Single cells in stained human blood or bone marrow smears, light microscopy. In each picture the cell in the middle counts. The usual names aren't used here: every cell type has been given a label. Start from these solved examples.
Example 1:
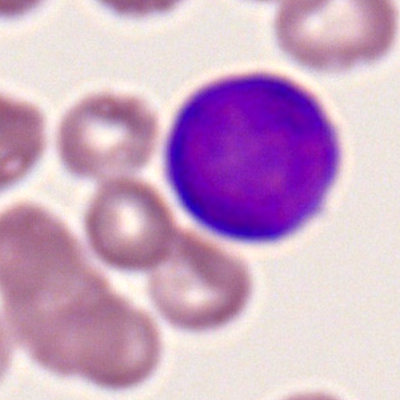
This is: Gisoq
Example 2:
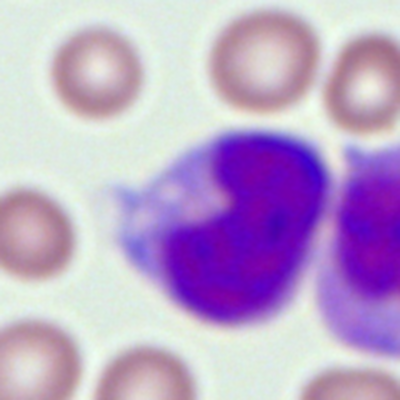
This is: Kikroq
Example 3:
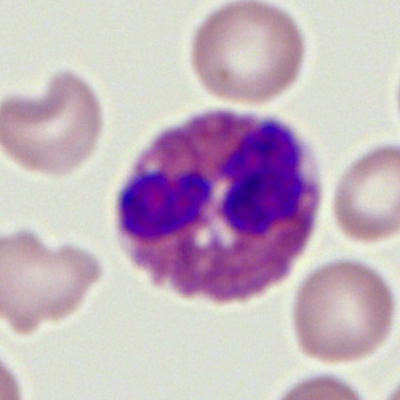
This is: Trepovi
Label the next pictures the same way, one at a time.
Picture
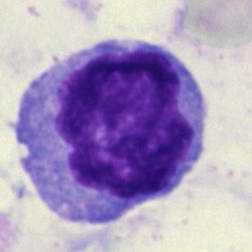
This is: Kikroq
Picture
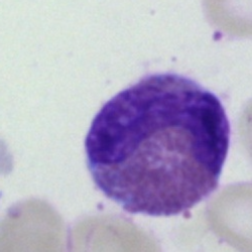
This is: Trepovi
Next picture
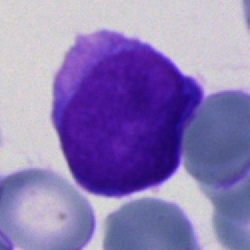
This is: Gisoq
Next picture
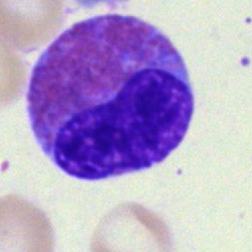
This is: Trepovi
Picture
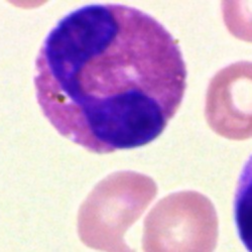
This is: Trepovi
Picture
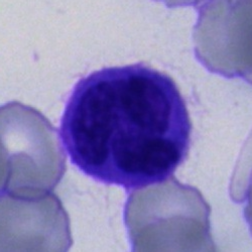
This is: Kikroq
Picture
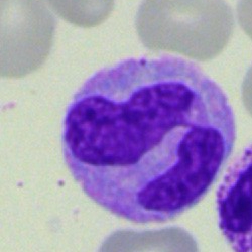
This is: Kikroq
